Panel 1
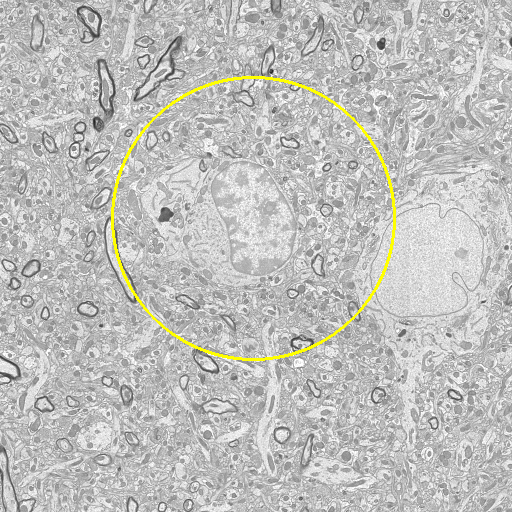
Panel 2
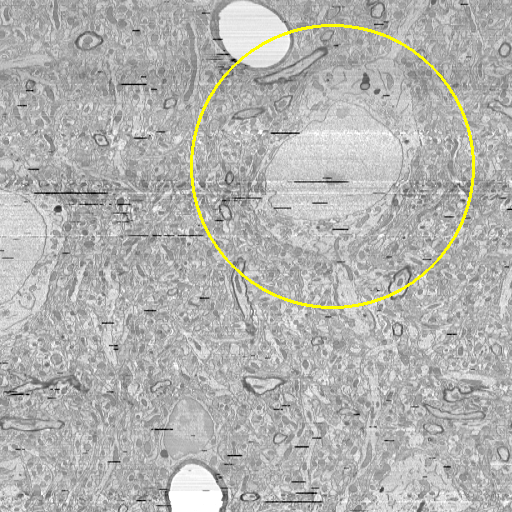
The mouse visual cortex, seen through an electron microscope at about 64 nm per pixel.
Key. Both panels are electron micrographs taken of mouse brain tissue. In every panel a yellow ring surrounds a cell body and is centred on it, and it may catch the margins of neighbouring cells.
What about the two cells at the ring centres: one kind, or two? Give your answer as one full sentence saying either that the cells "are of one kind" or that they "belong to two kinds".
Across Panels 1 and 2, the two cells at the ring centres belong to two kinds.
